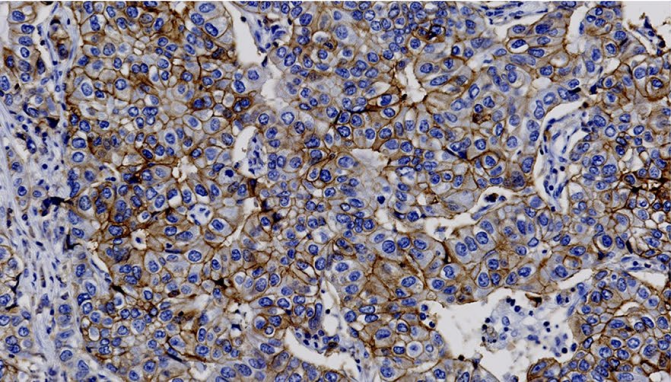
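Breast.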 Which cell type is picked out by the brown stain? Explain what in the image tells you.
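Brown stain outlines the borders of tightly packed polygonal epithelial cells in solid sheets. The nuclei are large, round to oval, with prominent nucleoli. Thin fibrous stroma at the left edge stays blue.
Answer: cancer cells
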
